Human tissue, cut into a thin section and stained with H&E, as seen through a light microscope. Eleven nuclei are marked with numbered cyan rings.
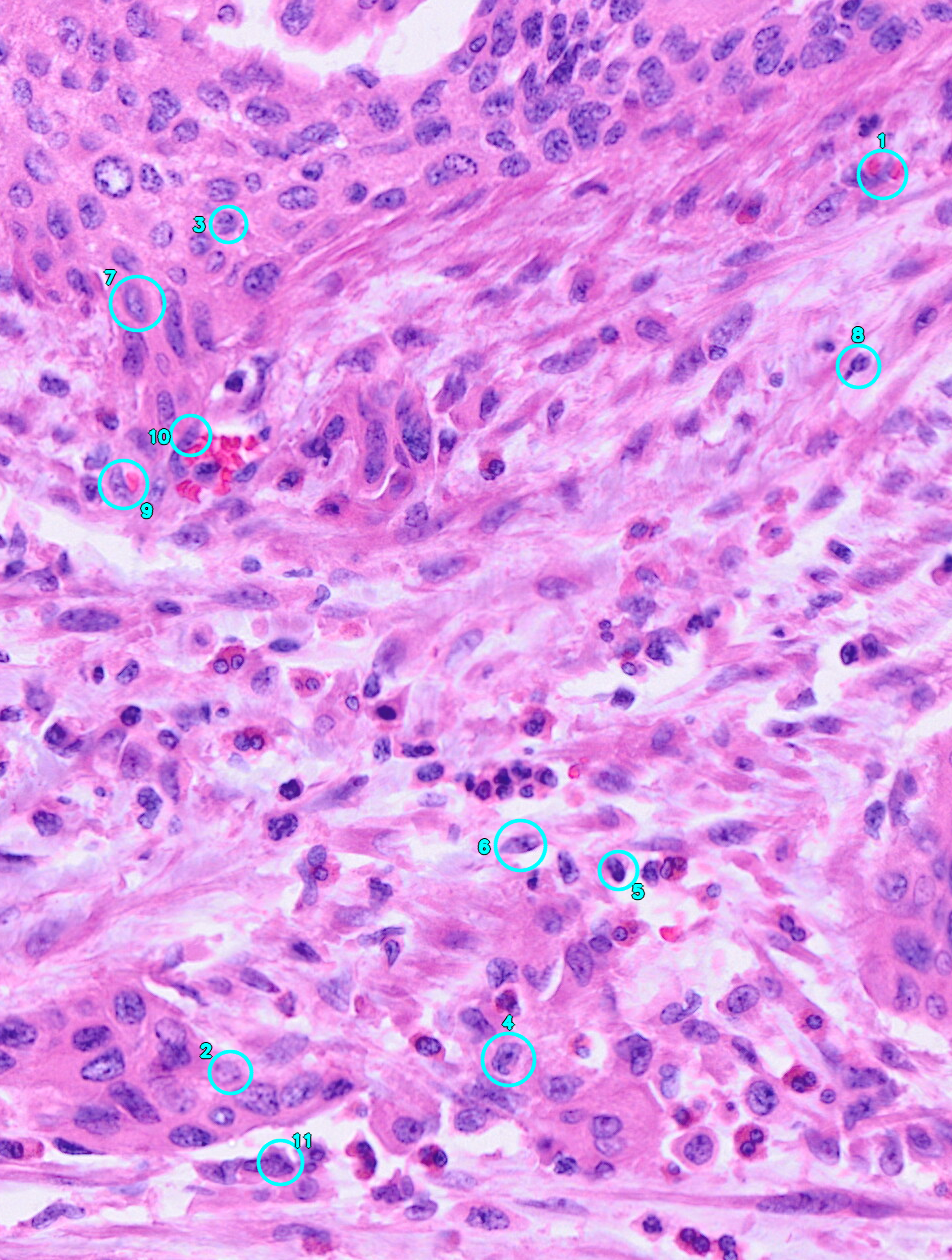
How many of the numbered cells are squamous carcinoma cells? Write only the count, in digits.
3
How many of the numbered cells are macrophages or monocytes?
3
